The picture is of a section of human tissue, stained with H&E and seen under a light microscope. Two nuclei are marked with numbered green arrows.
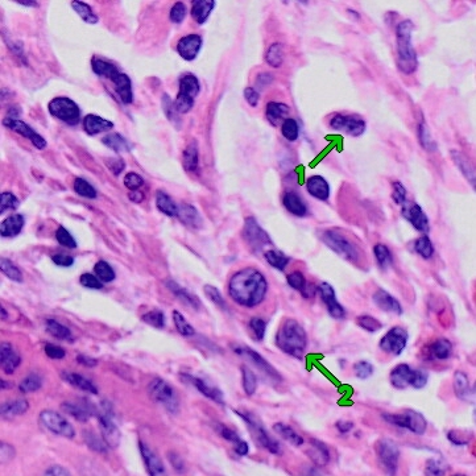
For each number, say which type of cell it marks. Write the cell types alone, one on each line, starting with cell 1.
lymphocyte
macrophage or monocyte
